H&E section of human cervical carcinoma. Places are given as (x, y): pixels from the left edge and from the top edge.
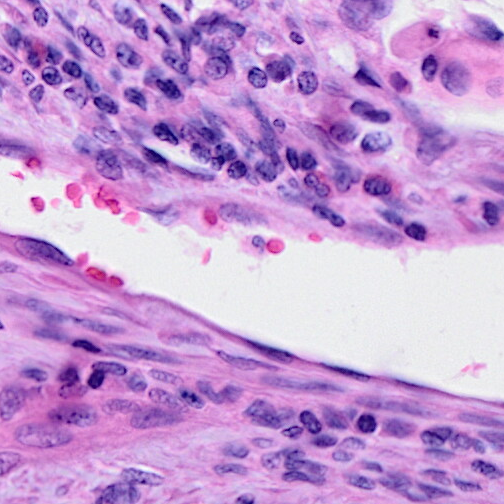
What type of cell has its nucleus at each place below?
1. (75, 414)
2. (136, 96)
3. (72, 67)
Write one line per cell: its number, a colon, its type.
1: endothelial cell
2: lymphocyte
3: lymphocyte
